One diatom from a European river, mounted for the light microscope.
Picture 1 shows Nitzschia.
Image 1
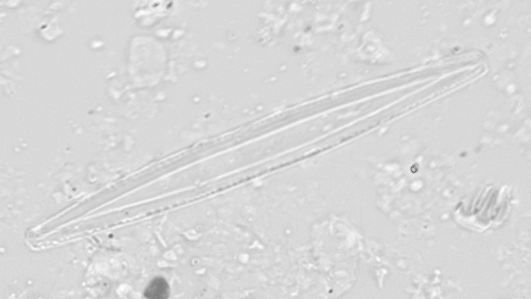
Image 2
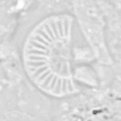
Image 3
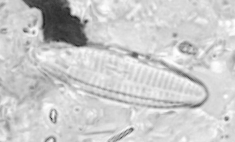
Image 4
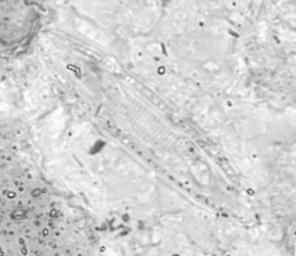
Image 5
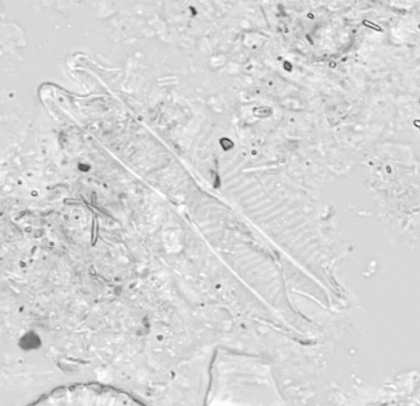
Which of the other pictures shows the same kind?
Picture 4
